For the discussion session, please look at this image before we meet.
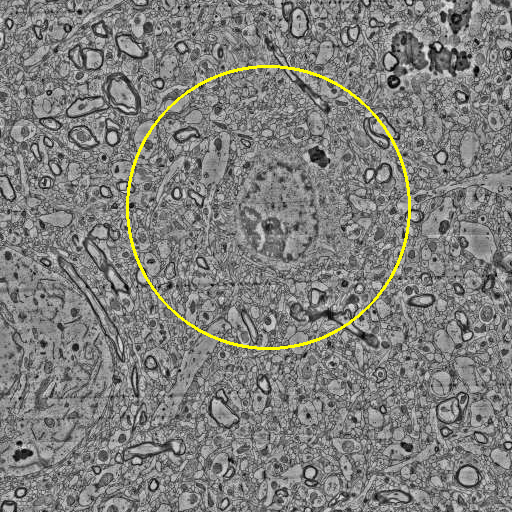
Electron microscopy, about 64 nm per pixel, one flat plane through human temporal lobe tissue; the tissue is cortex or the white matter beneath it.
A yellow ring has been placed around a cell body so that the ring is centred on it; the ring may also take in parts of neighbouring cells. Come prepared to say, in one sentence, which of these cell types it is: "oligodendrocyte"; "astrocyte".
The cell centred in the ring is an astrocyte.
